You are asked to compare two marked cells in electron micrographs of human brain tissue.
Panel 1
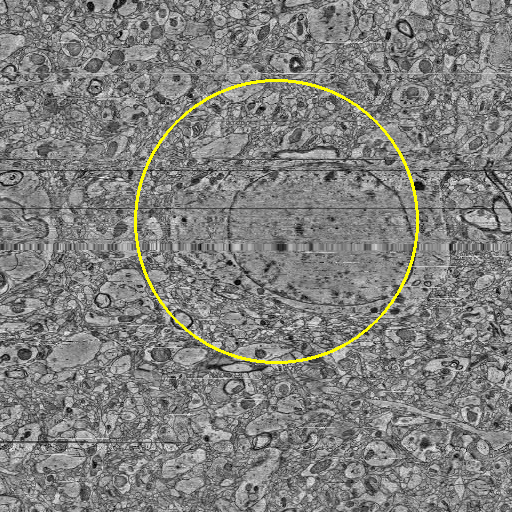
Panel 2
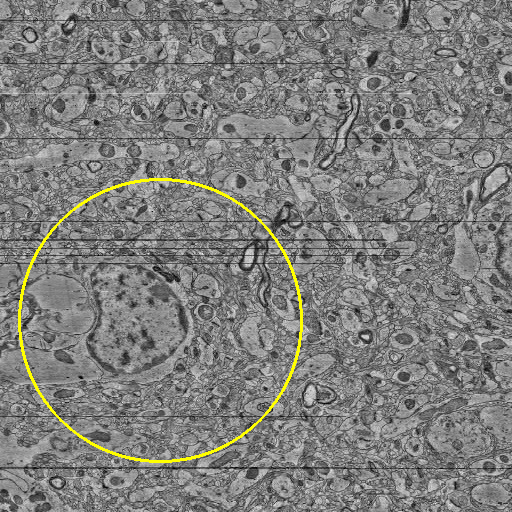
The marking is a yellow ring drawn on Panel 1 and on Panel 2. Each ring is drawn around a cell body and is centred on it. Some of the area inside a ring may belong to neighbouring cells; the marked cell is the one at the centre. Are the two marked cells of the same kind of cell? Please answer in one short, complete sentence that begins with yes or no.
No, the two marked cells are of two kinds.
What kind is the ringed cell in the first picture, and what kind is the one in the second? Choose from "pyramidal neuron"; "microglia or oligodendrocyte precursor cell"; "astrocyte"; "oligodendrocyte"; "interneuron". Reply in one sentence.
The first cell is a pyramidal neuron; the second is a microglial cell or oligodendrocyte precursor cell.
